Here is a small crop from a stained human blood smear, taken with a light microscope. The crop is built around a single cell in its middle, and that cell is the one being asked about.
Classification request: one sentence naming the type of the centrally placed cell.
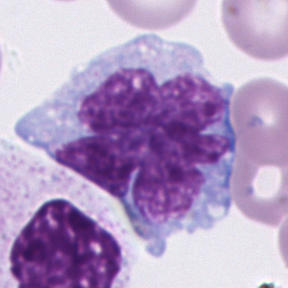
Of the cells in this crop, the central one is a monocyte.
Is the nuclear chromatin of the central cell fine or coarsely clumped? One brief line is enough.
What stands out is fine chromatin lacking any coarse clumps.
